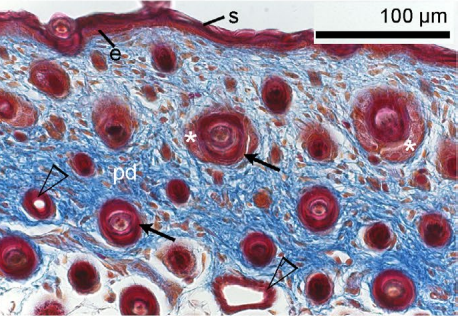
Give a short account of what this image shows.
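This is skin with a thin epidermis over a papillary dermis crowded with hair follicles cut in cross section. The surface carries a thin, dark red keratin layer over a few layers of epidermal cells. Beneath it, numerous round follicle profiles of varying size show concentric red-staining epithelial sheaths, some with a central hair shaft. Clusters of paler, pinkish cells sit against the sides of some of the larger follicles. The follicles are separated by blue-stained collagen fibres containing scattered small nuclei, and a few small profiles with a clear lumen lie among them.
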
